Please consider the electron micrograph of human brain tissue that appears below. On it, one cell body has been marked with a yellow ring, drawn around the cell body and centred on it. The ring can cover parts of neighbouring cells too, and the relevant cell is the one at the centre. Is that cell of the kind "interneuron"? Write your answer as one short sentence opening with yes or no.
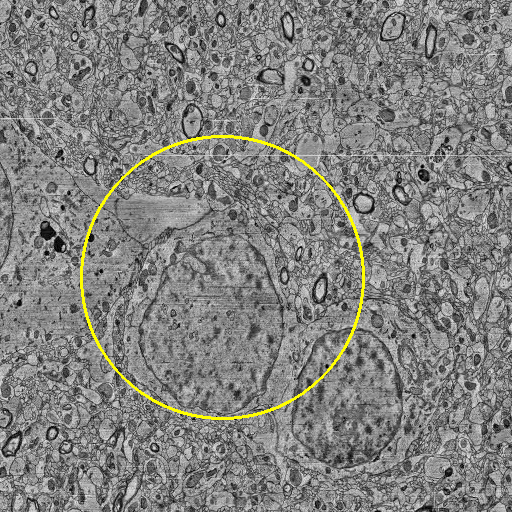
Yes, it is of that kind.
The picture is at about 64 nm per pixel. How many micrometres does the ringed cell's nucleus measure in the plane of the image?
The nucleus is approximately 12 micrometers long by 9 micrometers wide in this plane.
